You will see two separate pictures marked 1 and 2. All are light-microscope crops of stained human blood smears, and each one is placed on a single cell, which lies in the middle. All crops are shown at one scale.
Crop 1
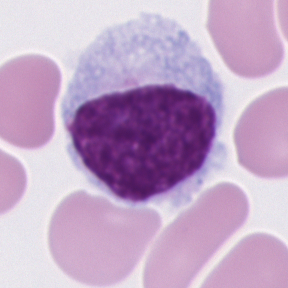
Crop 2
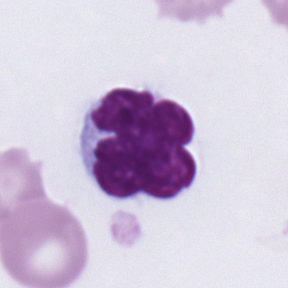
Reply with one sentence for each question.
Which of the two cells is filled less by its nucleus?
In crop 1 the nucleus takes up the smaller part of its cell.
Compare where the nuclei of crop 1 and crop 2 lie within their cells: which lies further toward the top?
The nucleus in crop 2 lies further toward the top of its cell.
